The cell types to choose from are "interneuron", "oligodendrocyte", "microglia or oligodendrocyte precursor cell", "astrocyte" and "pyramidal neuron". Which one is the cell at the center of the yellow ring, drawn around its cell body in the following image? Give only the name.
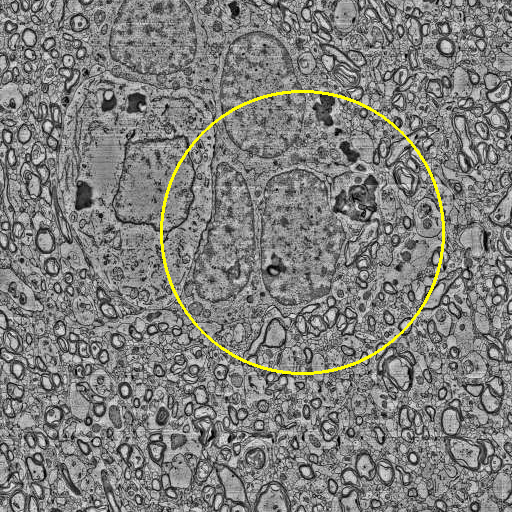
oligodendrocyte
